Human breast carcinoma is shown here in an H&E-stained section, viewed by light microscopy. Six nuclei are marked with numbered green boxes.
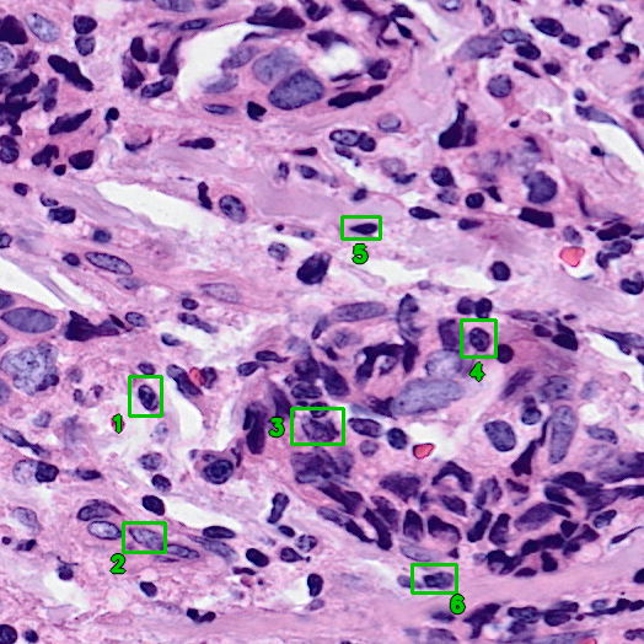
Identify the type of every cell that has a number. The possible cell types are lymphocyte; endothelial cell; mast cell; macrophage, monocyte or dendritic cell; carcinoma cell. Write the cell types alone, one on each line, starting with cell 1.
lymphocyte
endothelial cell
carcinoma cell
lymphocyte
lymphocyte
lymphocyte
